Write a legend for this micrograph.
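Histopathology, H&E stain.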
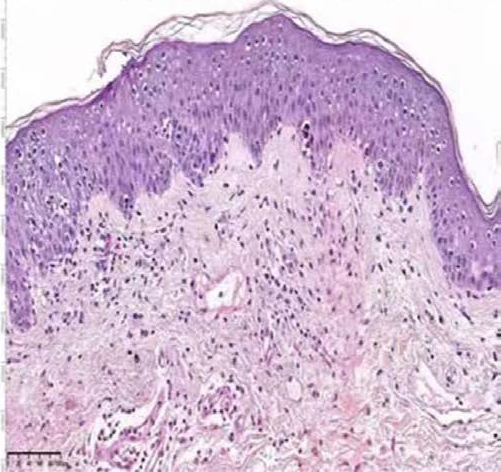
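A stratified squamous epidermis, purple and several cells thick with a thin pink keratin layer on top, lies over a pale pink, loose superficial dermis. The upper dermis holds a scattered infiltrate of small cells with dark round nuclei and little cytoplasm, which are lymphocytes, gathered around small vessels. The dermis beneath the epidermis looks loose and pale, as if swollen with fluid.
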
